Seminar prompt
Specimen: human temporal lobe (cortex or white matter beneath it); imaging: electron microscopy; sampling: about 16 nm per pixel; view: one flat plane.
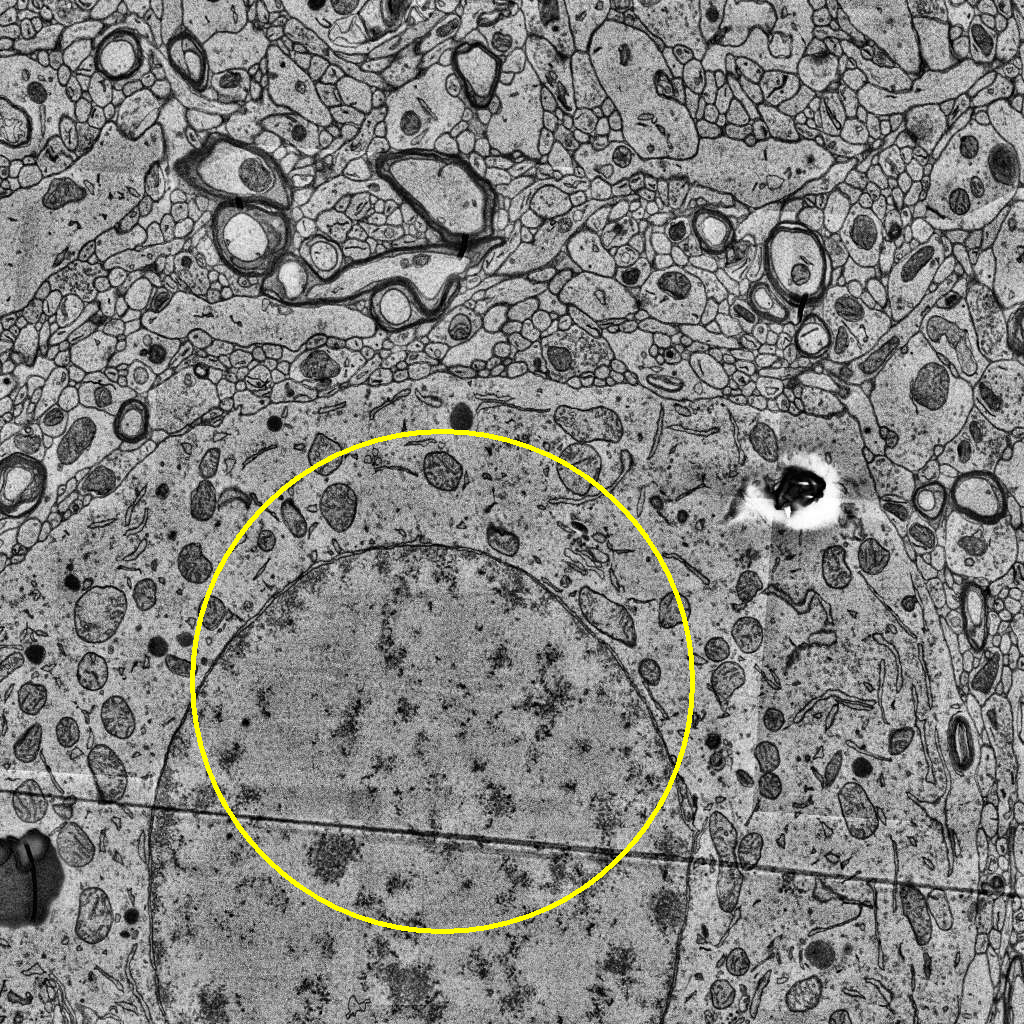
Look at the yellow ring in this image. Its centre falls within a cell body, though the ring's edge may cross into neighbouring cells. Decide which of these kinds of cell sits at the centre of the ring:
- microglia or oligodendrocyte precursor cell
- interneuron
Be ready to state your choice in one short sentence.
The kind of cell at the ring's centre is an interneuron.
